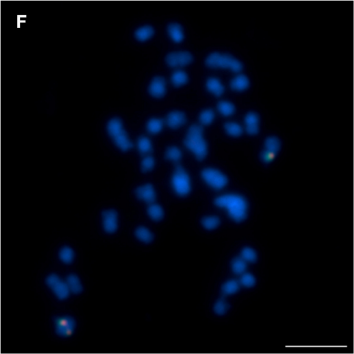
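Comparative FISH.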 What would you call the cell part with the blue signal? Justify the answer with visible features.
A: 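Many separate, small, compact blue bodies are scattered across a dark field. So: Chromosomes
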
